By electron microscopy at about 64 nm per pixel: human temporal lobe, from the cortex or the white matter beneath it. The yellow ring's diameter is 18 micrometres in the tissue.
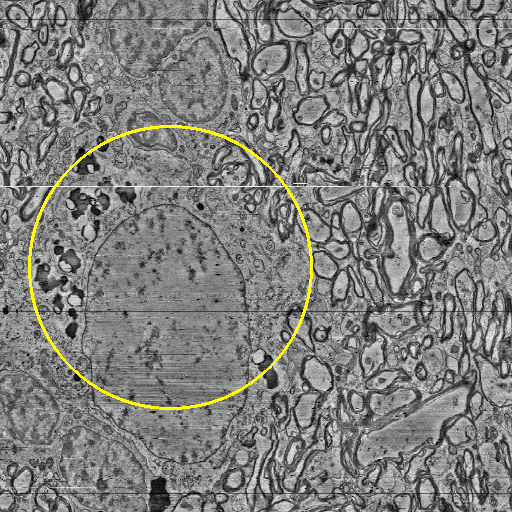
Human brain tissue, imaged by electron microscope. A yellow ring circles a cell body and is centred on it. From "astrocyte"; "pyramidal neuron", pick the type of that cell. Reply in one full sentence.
The cell body at the centre of the yellow ring belongs to a pyramidal neuron.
